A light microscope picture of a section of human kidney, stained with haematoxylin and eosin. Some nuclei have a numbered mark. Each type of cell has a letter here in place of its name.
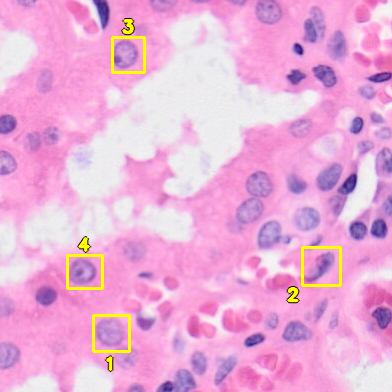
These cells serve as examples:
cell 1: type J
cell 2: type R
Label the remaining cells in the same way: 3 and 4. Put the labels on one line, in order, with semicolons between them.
type J; type J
